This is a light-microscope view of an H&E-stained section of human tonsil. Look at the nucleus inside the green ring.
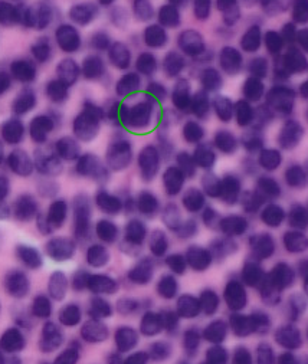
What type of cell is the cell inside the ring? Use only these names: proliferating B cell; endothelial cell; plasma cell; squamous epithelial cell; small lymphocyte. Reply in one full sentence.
In the context of this tissue, the cell inside the ring is a small lymphocyte.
